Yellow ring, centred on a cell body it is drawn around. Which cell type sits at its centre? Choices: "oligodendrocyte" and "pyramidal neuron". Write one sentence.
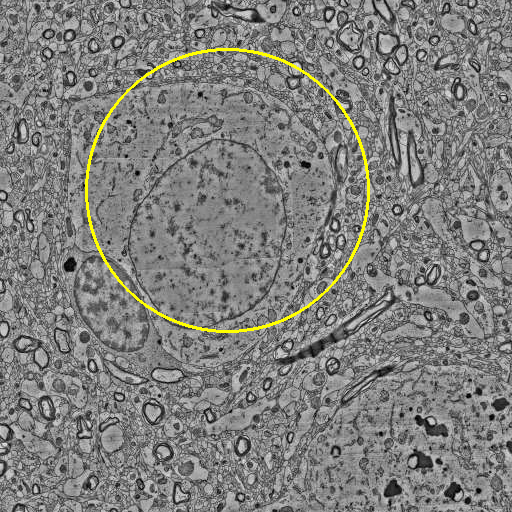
At the centre of the ring sits a pyramidal neuron.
